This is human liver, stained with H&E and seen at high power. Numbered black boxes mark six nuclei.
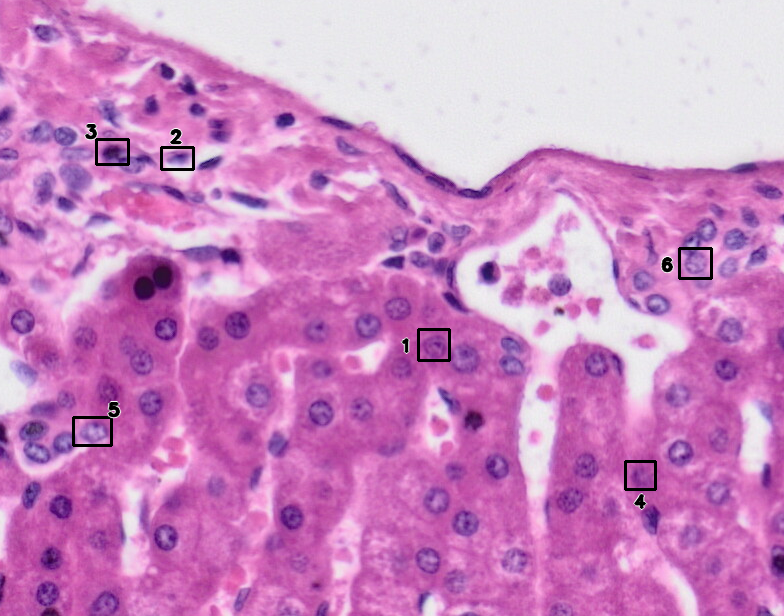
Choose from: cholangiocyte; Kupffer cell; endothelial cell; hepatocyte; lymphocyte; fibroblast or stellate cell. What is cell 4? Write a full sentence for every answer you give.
Cell 4 is classified as a hepatocyte.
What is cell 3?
Marked with the number 3, this cell is a cholangiocyte.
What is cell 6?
Number 6 among the marked cells is a cholangiocyte.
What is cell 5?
The cell given label 5 is a cholangiocyte.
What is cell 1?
The cell pointed out as number 1 is a hepatocyte.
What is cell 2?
In this section, the cell tagged 2 is a fibroblast or stellate cell.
